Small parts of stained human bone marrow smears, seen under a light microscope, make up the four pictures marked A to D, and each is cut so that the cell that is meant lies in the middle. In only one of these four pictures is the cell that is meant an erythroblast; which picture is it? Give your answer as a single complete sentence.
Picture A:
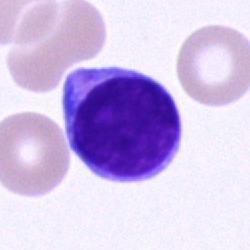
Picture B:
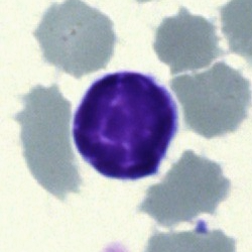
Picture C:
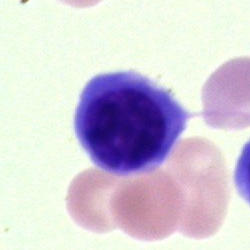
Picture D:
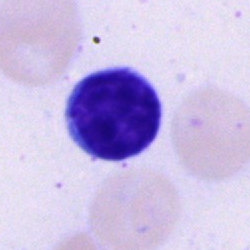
The cell in picture C is the erythroblast.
